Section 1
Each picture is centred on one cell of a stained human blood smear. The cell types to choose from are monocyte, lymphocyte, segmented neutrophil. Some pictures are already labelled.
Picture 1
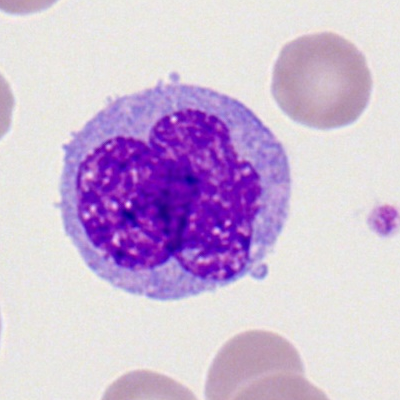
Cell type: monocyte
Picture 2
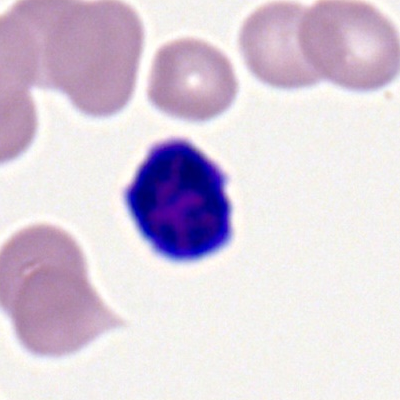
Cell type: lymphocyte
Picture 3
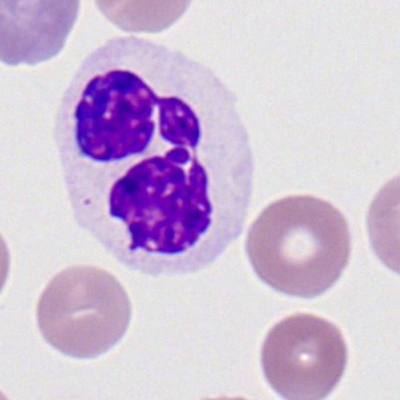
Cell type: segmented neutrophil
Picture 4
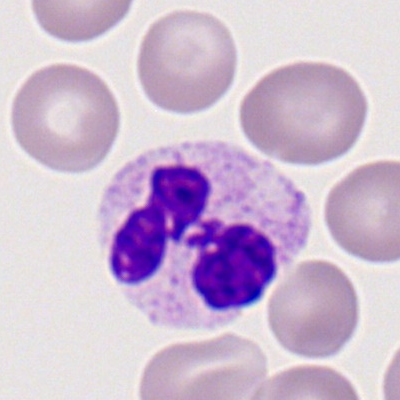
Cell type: segmented neutrophil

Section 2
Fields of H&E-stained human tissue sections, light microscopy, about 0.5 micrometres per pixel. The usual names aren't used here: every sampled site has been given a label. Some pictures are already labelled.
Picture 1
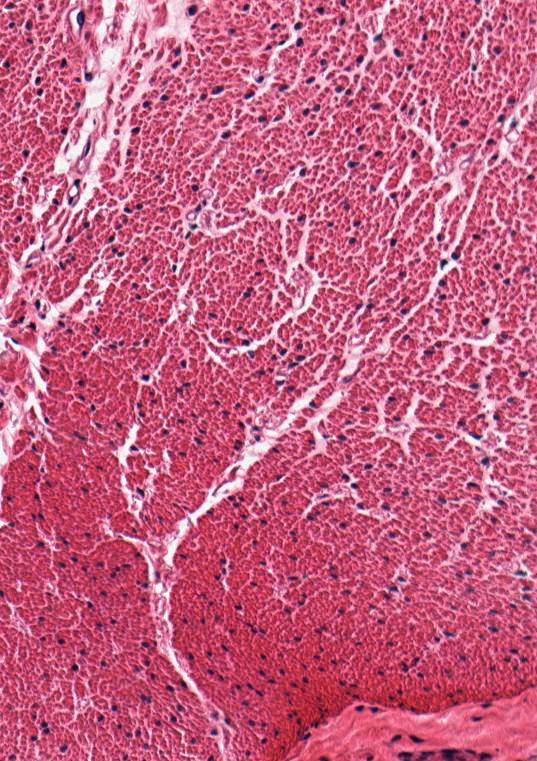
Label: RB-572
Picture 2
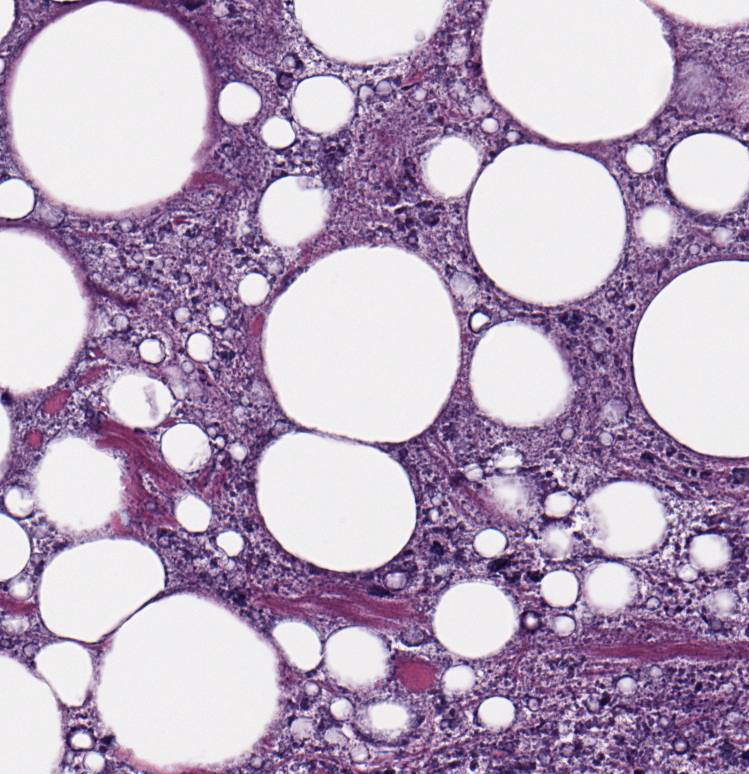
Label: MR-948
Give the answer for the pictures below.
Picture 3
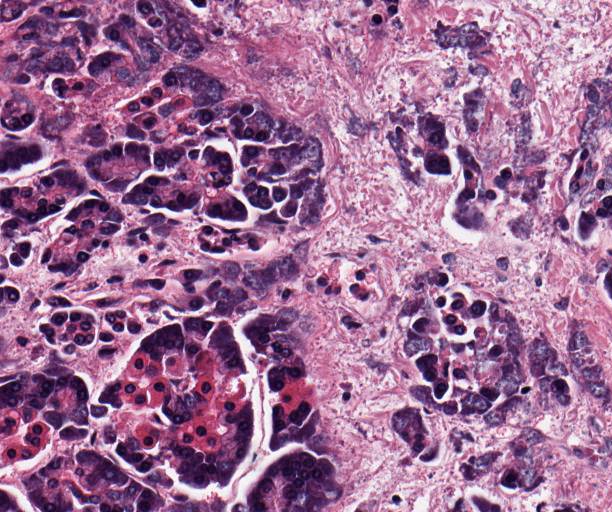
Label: MR-948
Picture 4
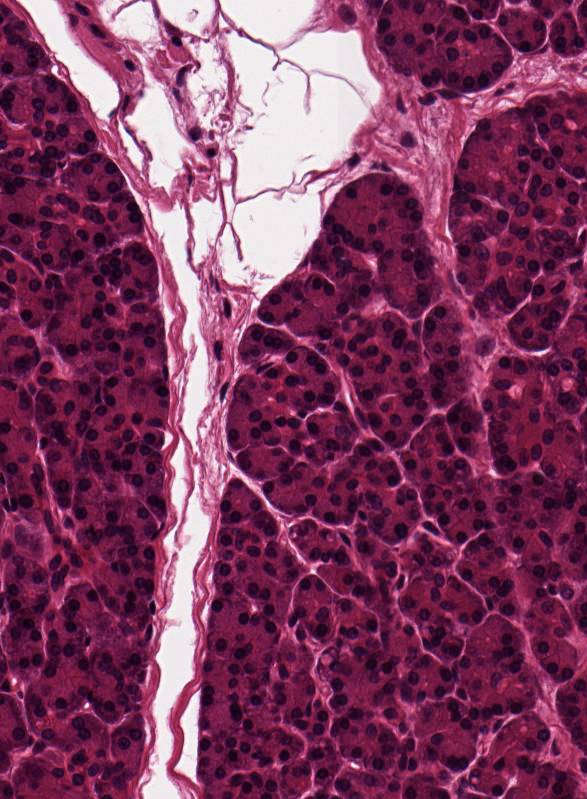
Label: MR-948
